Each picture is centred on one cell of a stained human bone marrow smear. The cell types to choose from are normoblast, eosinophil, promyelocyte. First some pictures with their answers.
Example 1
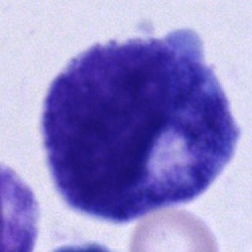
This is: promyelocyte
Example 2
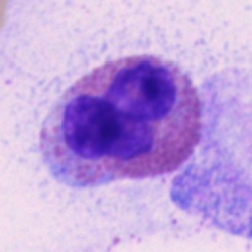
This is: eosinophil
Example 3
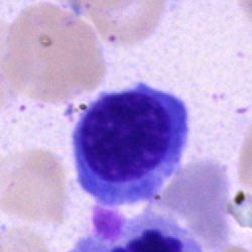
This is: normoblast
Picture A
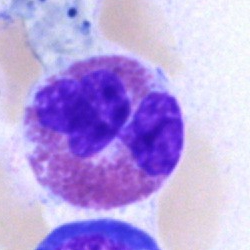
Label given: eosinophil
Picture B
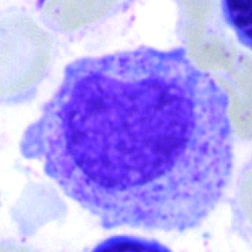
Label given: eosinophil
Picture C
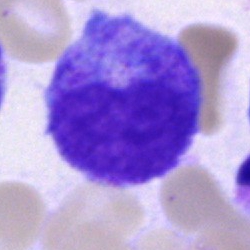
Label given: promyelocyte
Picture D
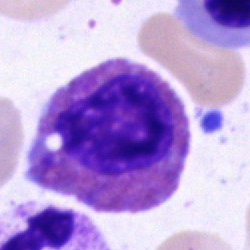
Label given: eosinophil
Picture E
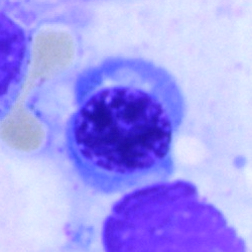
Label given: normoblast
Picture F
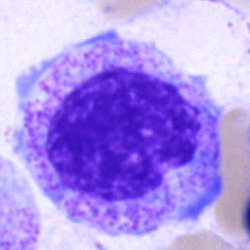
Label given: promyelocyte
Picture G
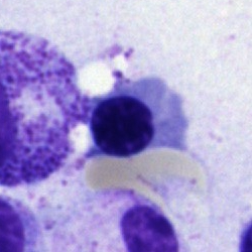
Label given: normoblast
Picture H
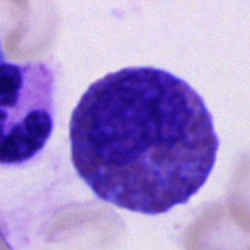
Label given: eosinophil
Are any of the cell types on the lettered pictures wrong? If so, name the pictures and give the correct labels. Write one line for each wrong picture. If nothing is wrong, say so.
B should be promyelocyte, not eosinophil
